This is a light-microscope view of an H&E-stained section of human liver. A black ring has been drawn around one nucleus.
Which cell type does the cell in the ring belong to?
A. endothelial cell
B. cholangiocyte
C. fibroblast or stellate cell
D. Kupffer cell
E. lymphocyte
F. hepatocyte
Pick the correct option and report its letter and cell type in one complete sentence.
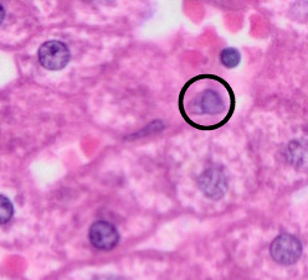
What option D states, that the cell in the ring is a Kupffer cell, is correct.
